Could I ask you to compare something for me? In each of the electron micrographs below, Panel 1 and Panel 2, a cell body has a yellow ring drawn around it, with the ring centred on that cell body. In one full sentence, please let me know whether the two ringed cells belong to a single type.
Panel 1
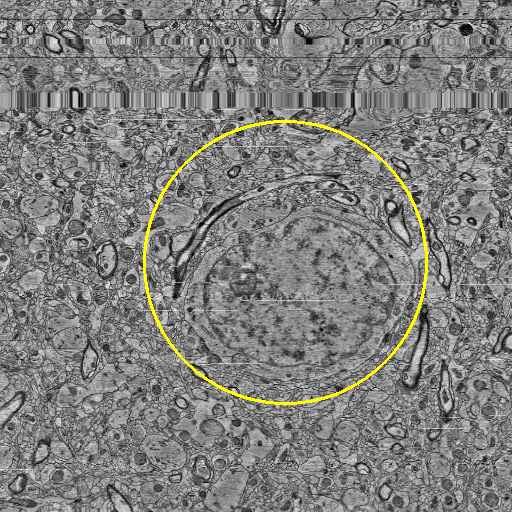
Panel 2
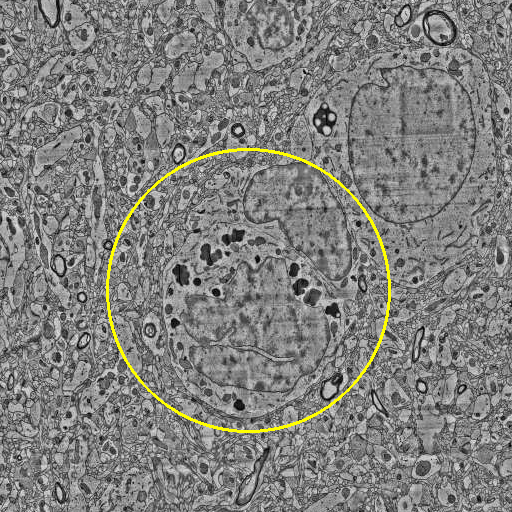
Yes, the two cells at the centres of the rings are of one type.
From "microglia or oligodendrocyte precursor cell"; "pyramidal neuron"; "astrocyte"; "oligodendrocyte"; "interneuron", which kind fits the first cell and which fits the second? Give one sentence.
Both the first and the second picture show an interneuron in the ring.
